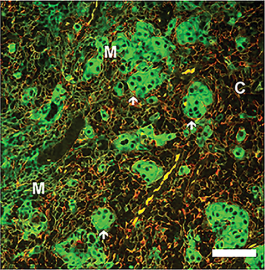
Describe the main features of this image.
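The clusters are made of big polygonal cells with abundant green cytoplasm and dark unstained round nuclei, packed together like cobblestones. The normal even reticular arrangement is interrupted by these bulky cell masses.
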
